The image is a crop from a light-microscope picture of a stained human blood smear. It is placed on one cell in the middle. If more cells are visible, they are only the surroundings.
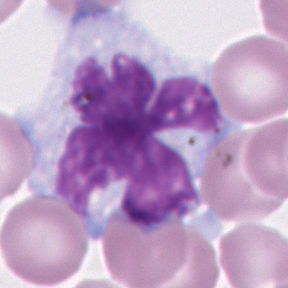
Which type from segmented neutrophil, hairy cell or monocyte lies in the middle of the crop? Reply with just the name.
monocyte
